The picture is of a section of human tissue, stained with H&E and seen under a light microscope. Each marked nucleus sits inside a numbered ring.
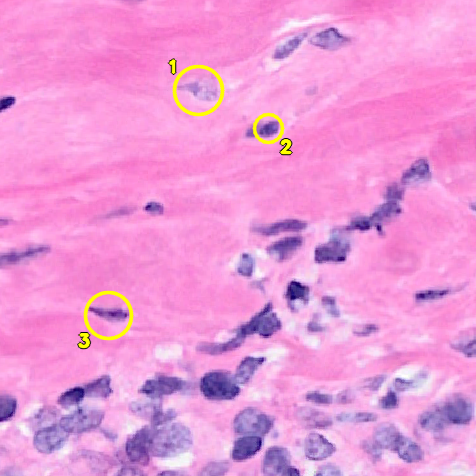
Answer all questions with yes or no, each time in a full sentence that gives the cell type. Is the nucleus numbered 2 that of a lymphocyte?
Yes, the cell bearing the number 2 is a lymphocyte.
